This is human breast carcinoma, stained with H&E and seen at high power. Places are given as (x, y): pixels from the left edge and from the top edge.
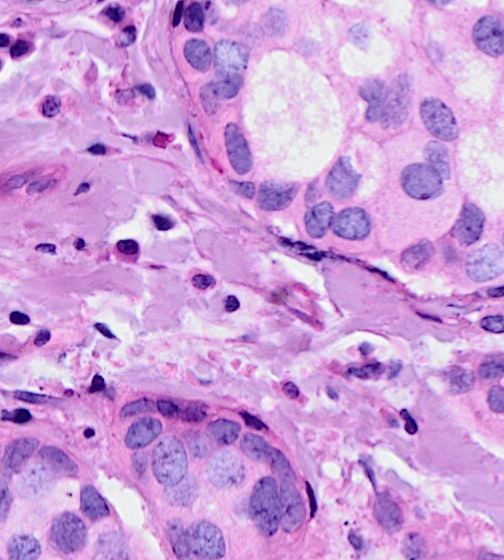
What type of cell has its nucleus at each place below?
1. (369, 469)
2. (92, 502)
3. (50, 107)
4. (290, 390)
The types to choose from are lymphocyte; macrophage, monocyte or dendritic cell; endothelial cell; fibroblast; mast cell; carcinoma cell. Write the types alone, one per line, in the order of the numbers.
fibroblast
carcinoma cell
mast cell
mast cell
